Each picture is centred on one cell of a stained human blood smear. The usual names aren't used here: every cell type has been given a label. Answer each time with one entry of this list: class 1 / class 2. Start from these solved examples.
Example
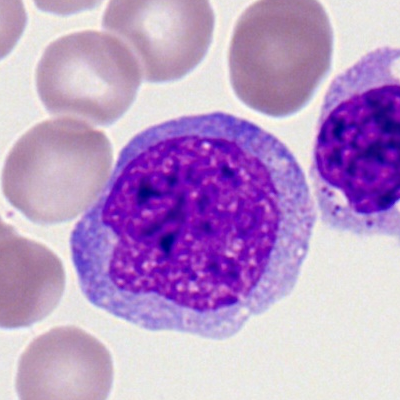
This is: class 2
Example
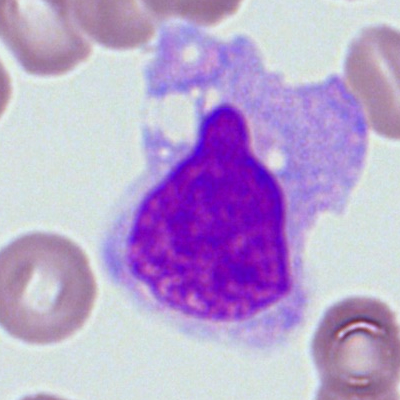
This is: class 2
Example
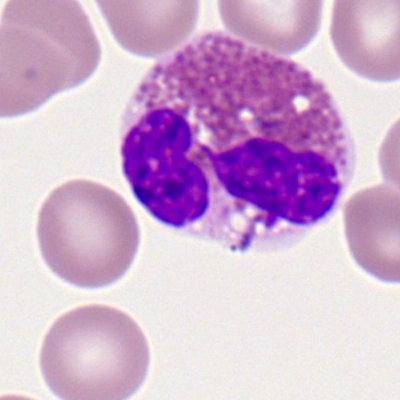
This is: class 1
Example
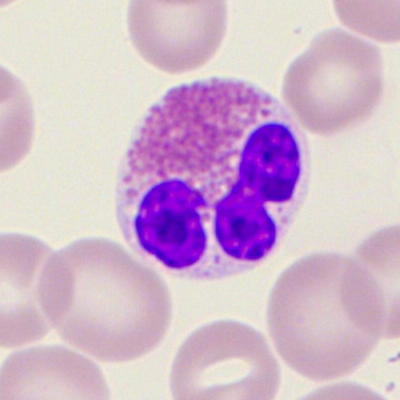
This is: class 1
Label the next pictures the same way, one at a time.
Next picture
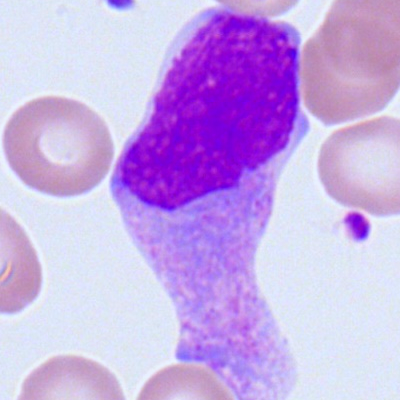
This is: class 2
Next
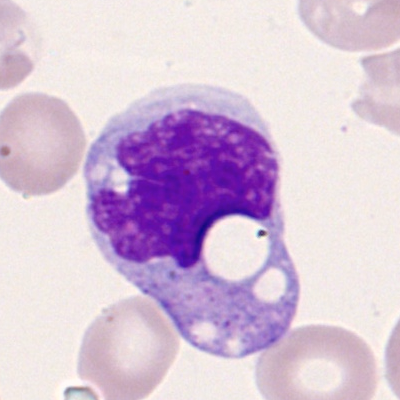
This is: class 2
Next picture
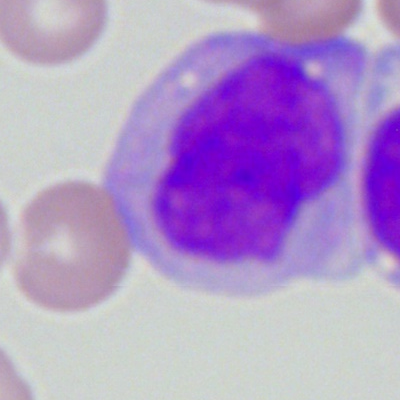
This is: class 2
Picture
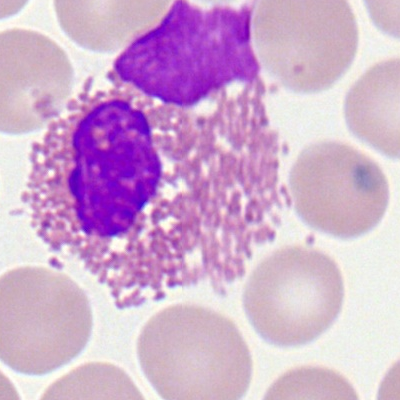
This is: class 1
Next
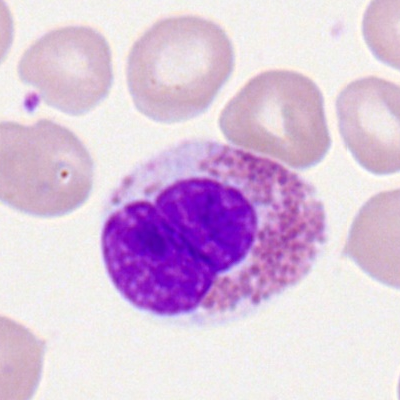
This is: class 1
